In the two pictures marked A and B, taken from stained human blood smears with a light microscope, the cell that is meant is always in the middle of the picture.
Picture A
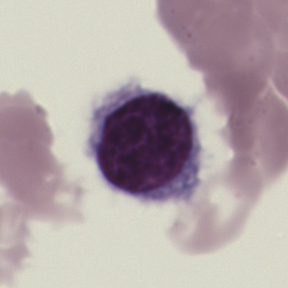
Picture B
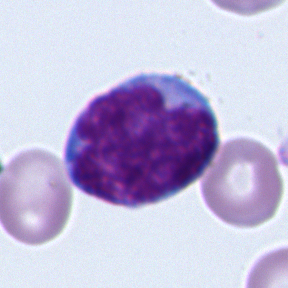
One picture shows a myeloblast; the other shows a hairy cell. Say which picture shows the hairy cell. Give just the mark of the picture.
A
